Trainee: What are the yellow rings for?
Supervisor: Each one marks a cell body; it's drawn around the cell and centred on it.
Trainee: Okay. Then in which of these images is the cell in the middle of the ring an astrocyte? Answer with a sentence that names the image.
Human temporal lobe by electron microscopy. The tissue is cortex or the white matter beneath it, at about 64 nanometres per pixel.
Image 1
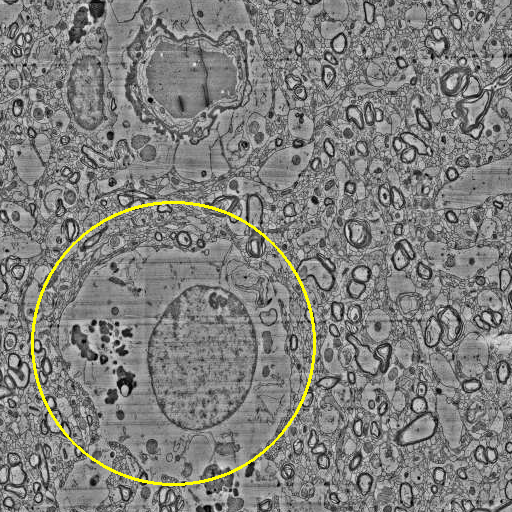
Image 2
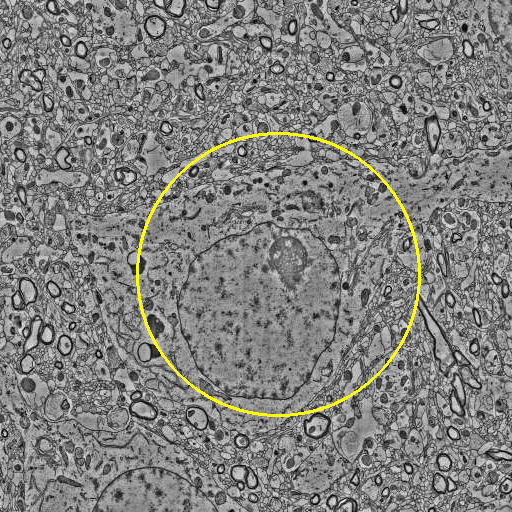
Image 1 has it in the middle of the ring.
